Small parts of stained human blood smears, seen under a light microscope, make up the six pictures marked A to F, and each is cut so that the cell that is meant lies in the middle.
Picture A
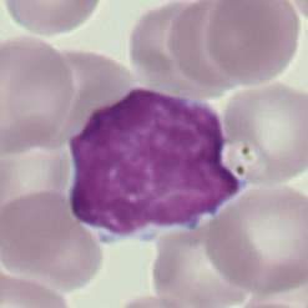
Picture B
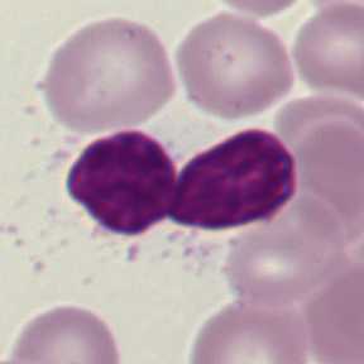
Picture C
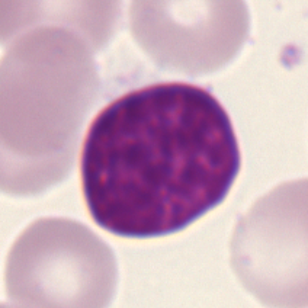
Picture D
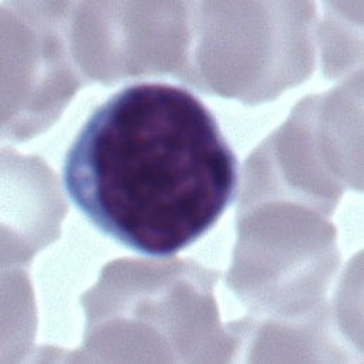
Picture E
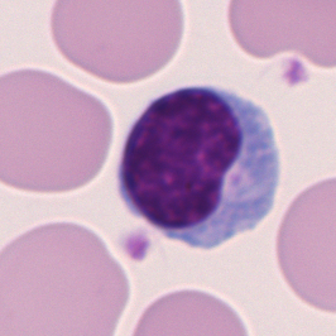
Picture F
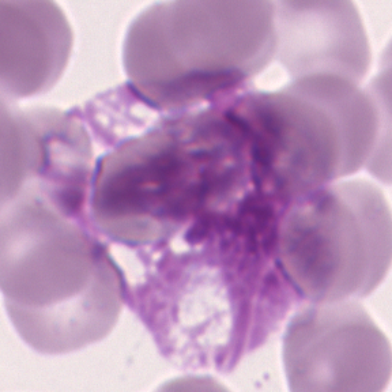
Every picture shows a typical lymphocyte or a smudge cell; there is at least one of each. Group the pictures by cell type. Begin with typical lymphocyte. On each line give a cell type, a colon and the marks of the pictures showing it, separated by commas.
typical lymphocyte: A, D, E
smudge cell: B, C, F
